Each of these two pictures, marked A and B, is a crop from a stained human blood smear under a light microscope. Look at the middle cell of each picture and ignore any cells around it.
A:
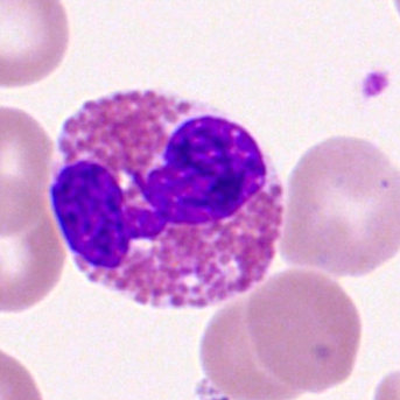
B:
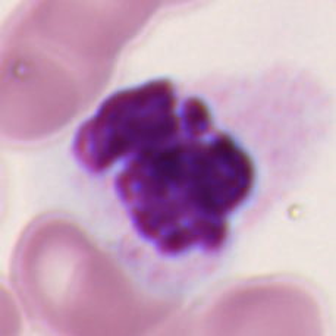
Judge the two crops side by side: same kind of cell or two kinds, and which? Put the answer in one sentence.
No, crop A is home to an eosinophil, and crop B to a neutrophil.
